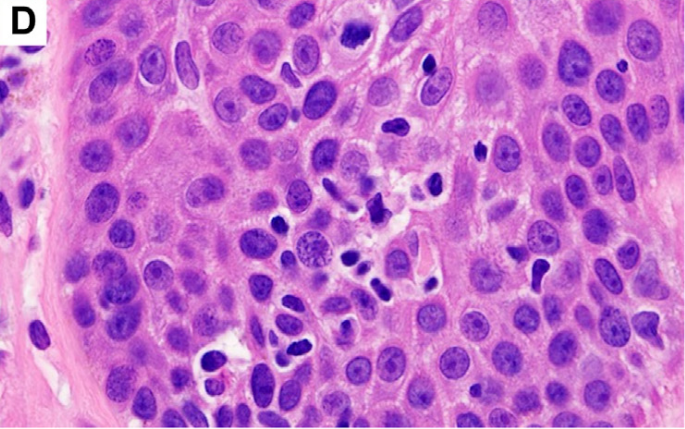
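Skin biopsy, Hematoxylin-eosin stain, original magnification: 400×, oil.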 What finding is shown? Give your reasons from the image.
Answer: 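Atypia of the epidermotropic lymphocytes. Small cells with dark, irregular, angulated nuclei lie between the keratinocytes. These dark nuclei differ in shape from the round, pale keratinocyte nuclei.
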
